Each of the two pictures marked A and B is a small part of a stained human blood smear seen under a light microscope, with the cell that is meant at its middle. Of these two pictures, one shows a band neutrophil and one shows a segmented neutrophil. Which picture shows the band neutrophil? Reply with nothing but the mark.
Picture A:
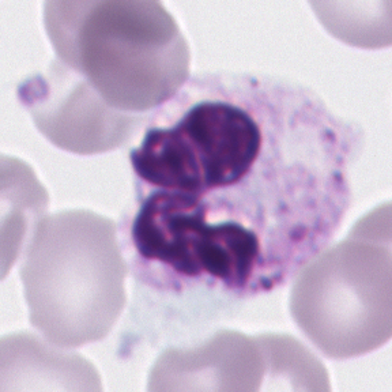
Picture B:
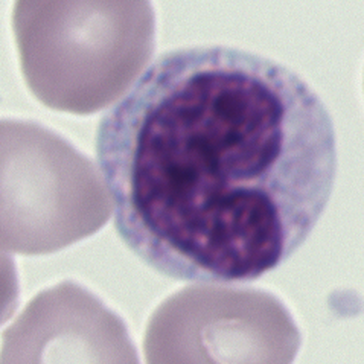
B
